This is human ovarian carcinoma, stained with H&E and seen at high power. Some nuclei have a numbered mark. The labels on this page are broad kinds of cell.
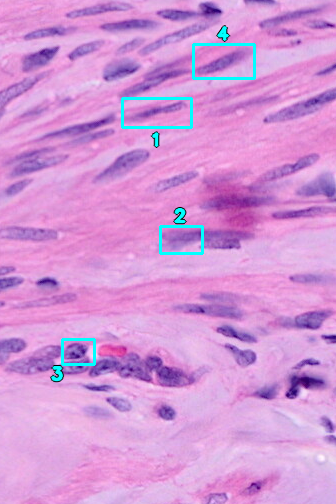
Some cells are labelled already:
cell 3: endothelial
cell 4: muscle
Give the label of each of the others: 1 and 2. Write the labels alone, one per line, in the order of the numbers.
muscle
muscle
